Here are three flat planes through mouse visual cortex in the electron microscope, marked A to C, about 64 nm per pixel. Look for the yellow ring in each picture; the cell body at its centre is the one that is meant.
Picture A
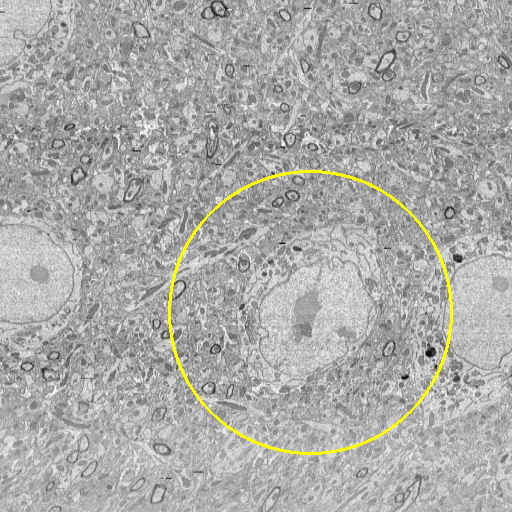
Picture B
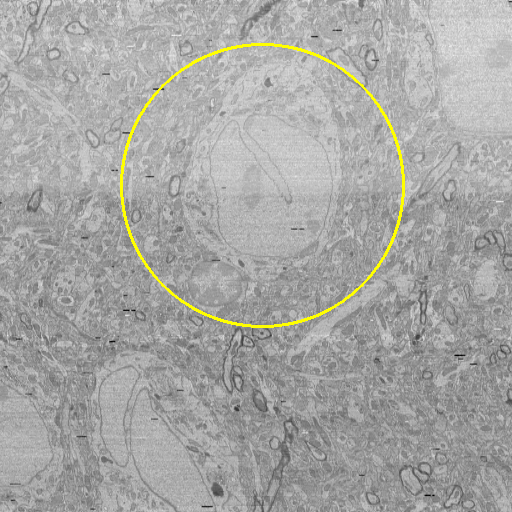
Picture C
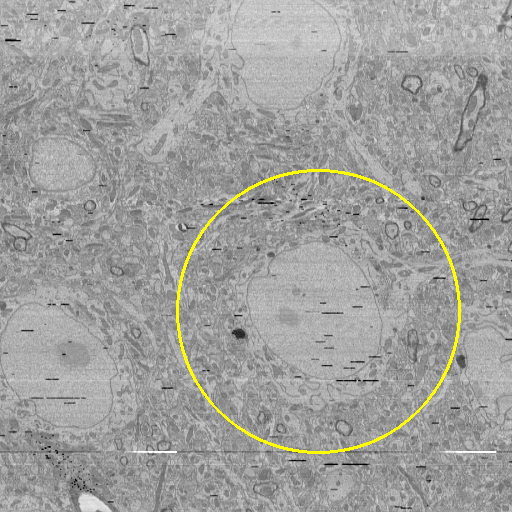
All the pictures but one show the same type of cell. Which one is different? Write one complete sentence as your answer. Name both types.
Unlike the rest, which show excitatory neurons, picture A shows an inhibitory neuron.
